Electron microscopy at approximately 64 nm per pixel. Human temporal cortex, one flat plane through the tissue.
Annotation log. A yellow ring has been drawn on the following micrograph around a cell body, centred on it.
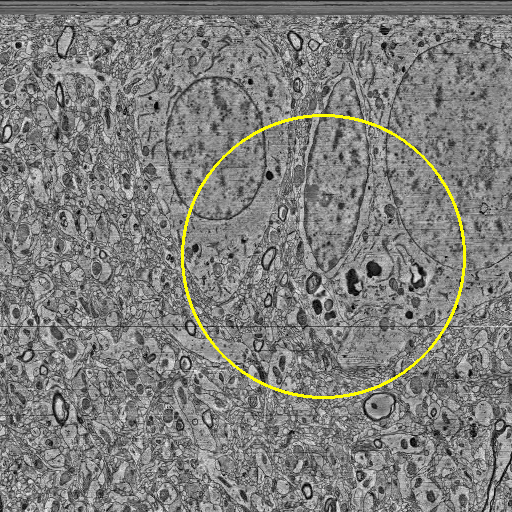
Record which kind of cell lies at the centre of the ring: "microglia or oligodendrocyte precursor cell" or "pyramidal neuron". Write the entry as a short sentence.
The cell the ring is centred on is a microglial cell or oligodendrocyte precursor cell.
